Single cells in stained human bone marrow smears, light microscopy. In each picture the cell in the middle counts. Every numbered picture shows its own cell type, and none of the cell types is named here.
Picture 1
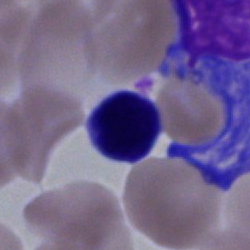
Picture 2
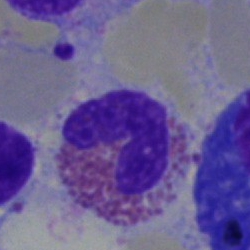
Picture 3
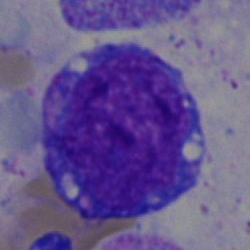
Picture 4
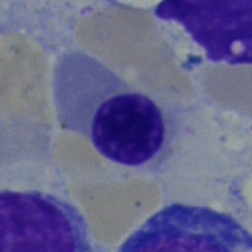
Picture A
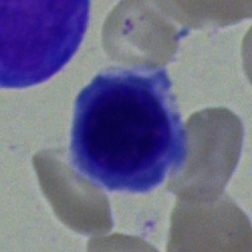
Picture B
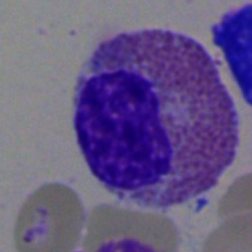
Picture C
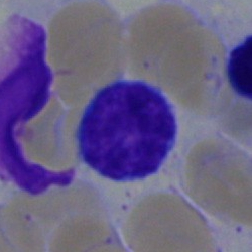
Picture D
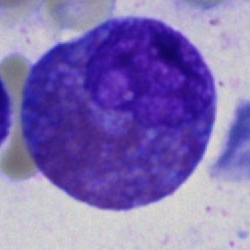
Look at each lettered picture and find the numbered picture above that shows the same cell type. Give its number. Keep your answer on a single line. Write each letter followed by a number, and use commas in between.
A 4, B 2, C 1, D 2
